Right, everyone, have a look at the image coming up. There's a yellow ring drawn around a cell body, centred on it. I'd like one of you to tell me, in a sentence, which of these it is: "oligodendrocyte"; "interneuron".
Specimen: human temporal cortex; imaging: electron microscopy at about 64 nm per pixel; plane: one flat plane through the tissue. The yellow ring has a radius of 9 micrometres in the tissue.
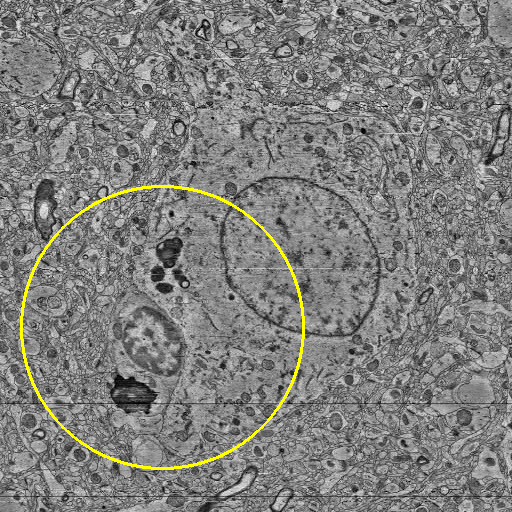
The yellow ring sits on an oligodendrocyte.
